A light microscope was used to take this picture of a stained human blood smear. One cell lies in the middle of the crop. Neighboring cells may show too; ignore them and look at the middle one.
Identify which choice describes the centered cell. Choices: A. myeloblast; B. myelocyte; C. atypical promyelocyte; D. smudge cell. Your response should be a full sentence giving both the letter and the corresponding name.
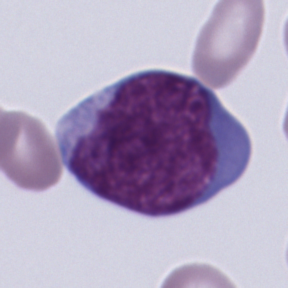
Option A holds up: the cell in the middle is a myeloblast.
